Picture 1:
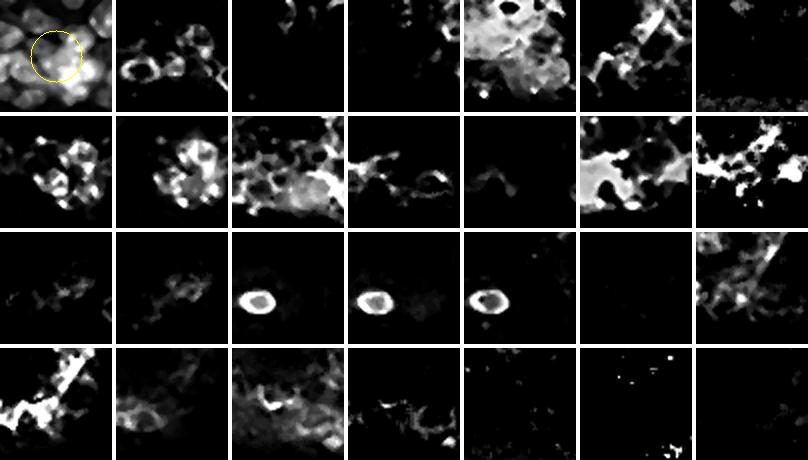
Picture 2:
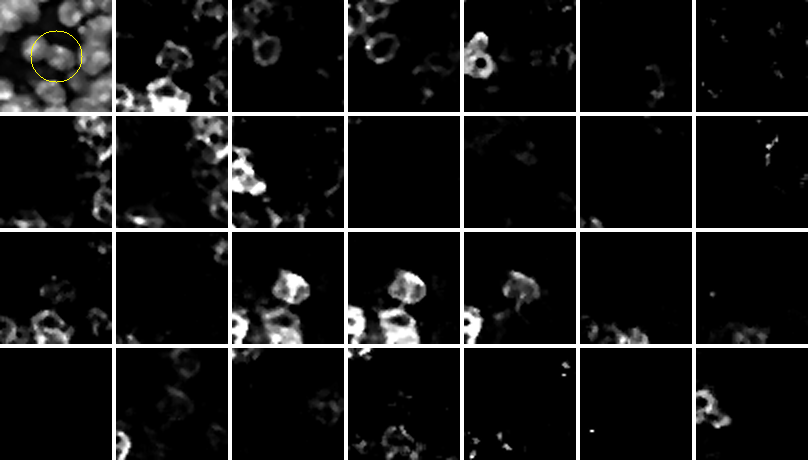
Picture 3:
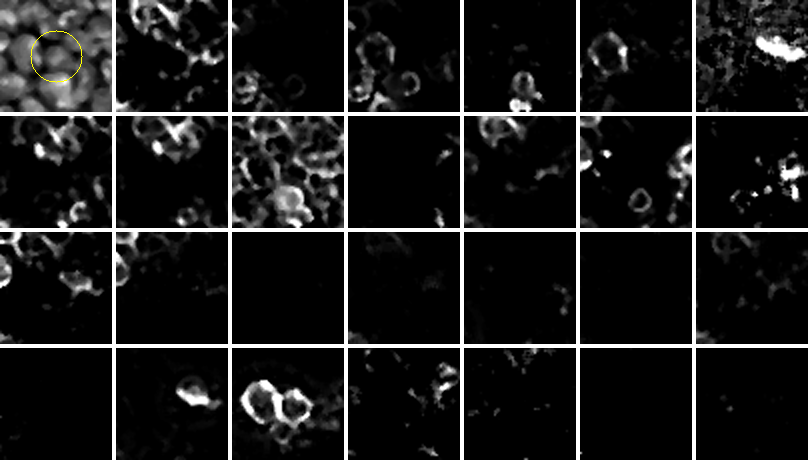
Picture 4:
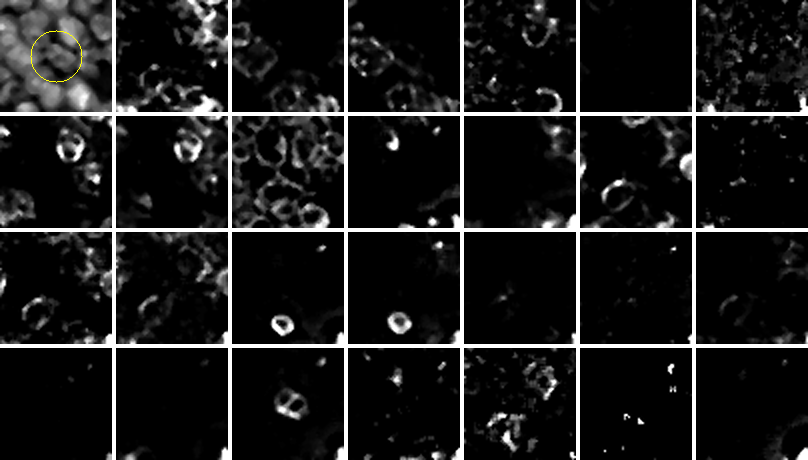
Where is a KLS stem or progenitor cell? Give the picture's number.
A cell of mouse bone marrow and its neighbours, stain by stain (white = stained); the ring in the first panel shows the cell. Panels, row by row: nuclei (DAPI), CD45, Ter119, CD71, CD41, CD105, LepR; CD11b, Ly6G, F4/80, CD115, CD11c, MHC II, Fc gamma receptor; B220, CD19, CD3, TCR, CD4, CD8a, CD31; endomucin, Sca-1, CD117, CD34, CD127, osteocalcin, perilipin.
3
